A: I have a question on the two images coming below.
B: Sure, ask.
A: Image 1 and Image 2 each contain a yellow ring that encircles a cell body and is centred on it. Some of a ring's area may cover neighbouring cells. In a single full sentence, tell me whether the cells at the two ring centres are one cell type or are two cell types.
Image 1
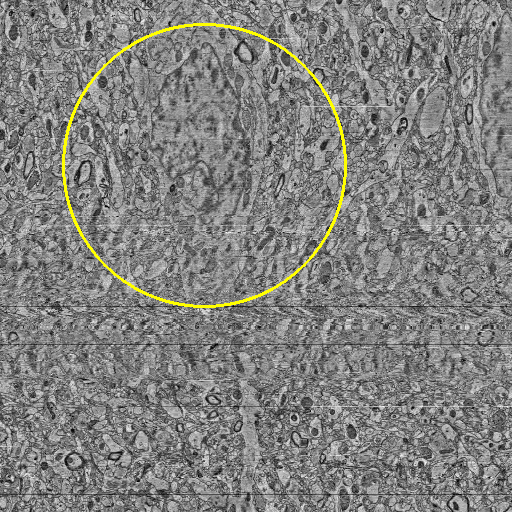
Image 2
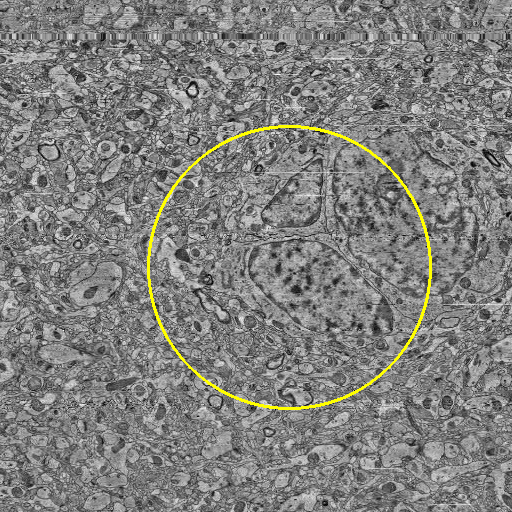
As for the ring-centre cells, the one in Image 1 and the one in Image 2 are two cell types.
